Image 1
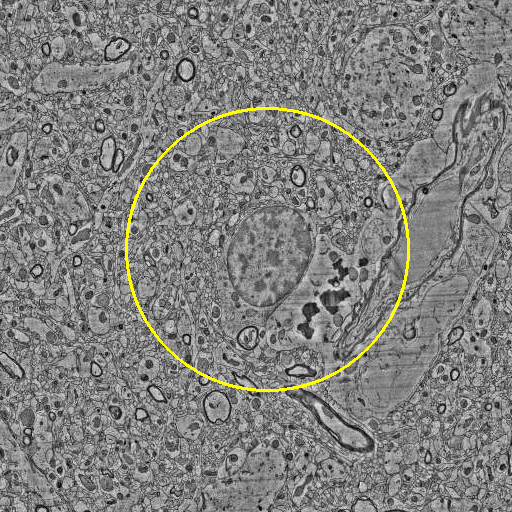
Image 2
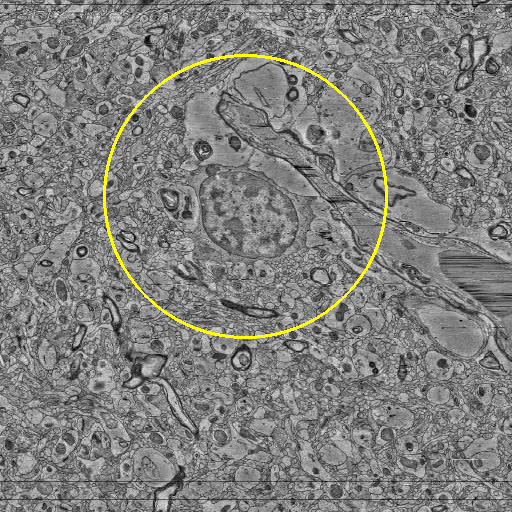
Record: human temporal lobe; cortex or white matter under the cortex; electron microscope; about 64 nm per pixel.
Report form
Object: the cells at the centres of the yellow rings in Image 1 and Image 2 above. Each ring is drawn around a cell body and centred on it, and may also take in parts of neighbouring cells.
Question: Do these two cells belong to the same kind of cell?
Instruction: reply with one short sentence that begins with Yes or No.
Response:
Yes, both belong to the same kind of cell.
